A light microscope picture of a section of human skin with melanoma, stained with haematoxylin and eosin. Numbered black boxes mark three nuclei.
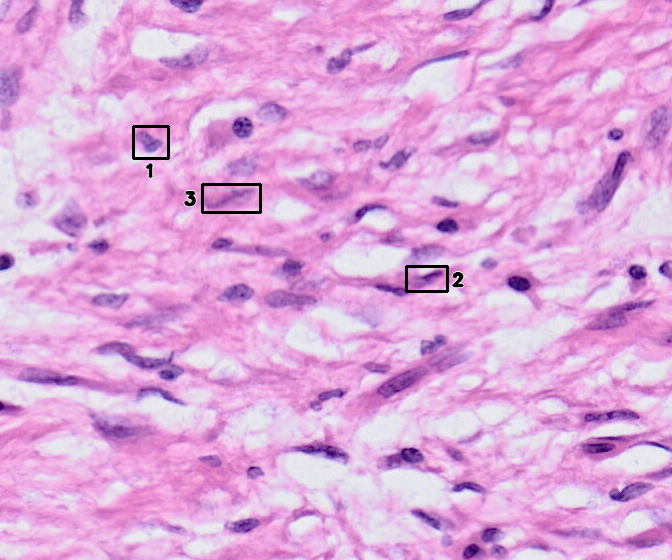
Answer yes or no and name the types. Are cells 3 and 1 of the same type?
No, that does not hold; cell 3 is a fibroblast or myofibroblast and cell 1 is a macrophage or monocyte.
